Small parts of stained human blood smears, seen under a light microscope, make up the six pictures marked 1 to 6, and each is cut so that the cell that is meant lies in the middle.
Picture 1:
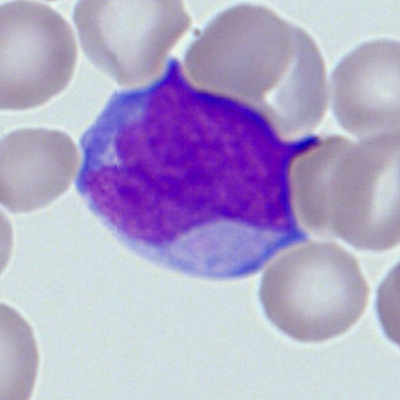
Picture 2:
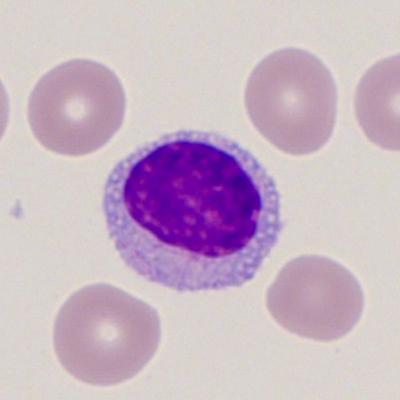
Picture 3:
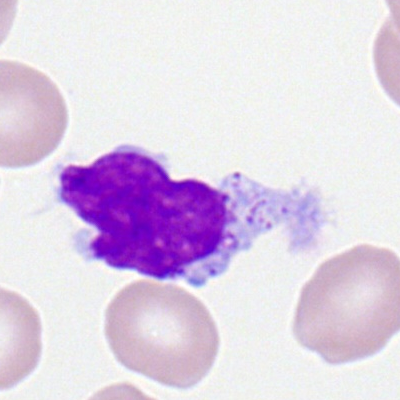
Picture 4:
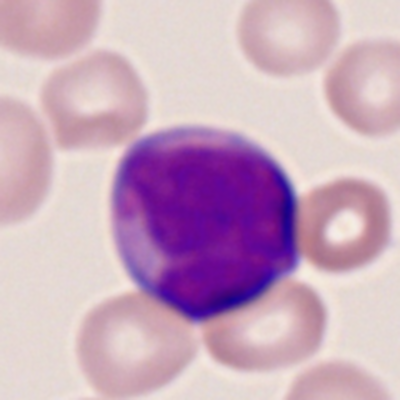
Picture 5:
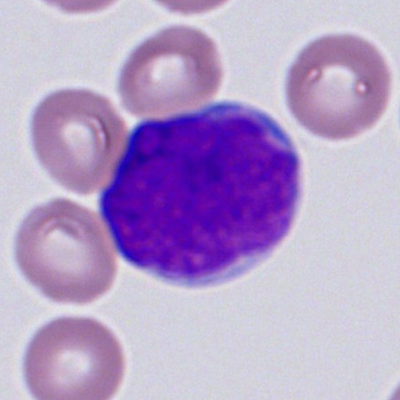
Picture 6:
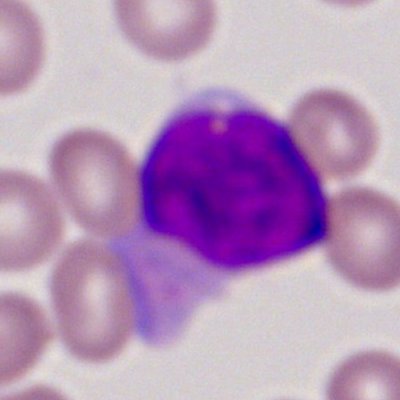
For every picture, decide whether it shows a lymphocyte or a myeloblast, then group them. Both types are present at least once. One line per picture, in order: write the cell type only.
myeloblast
lymphocyte
lymphocyte
myeloblast
myeloblast
myeloblast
